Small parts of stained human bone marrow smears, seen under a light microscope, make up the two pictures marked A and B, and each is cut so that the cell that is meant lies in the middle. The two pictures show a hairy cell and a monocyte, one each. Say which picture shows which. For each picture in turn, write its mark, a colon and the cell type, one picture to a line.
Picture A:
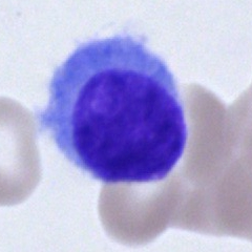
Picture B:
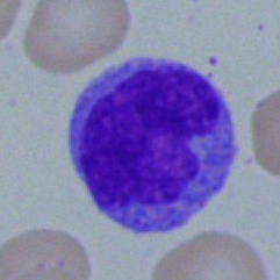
A: hairy cell
B: monocyte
